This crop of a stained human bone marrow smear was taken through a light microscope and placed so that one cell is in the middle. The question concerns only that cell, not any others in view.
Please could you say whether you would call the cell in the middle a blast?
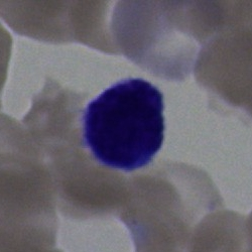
no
